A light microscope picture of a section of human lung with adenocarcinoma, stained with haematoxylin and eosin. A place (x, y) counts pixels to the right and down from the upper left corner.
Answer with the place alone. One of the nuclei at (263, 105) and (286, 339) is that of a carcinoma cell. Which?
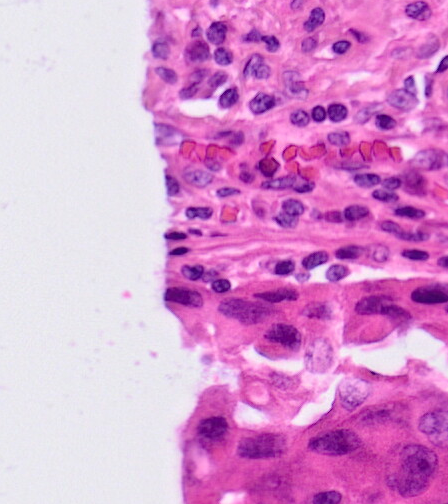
(286, 339)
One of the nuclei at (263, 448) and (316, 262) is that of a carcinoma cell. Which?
(263, 448)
